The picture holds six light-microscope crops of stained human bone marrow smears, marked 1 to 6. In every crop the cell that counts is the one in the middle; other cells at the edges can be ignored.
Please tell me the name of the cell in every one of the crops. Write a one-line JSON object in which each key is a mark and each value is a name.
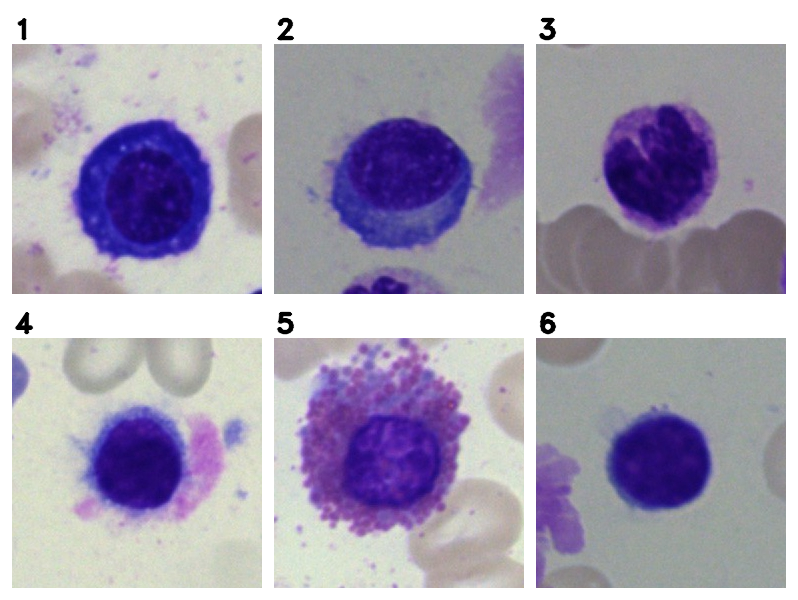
{"1": "plasma cell", "2": "plasma cell", "3": "basophil", "4": "hairy cell", "5": "eosinophil", "6": "lymphocyte"}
